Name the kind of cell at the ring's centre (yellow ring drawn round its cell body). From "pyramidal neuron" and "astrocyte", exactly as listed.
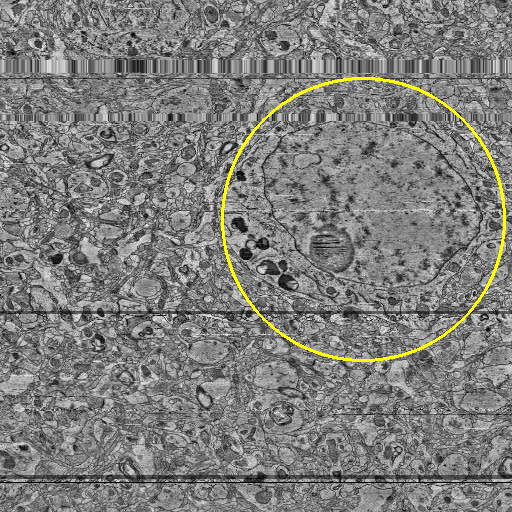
pyramidal neuron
